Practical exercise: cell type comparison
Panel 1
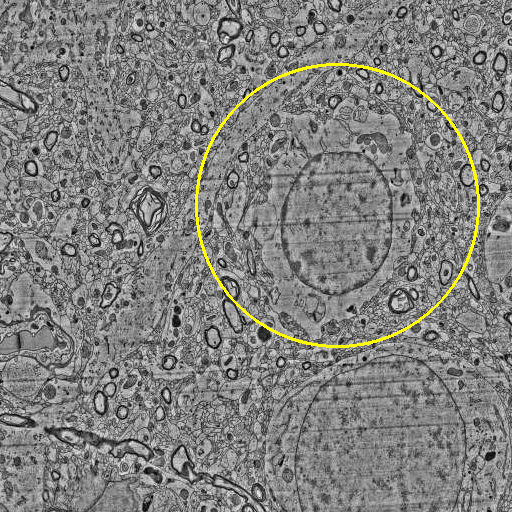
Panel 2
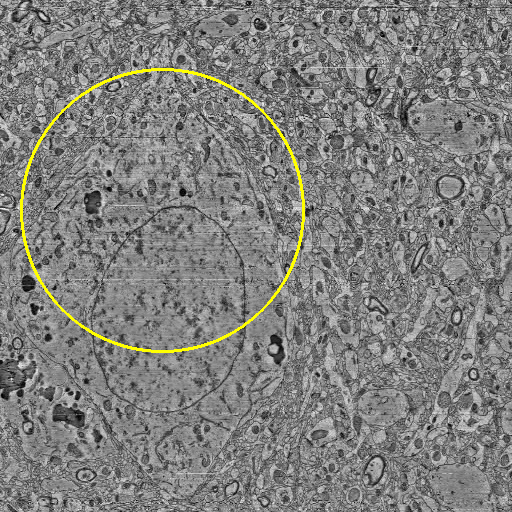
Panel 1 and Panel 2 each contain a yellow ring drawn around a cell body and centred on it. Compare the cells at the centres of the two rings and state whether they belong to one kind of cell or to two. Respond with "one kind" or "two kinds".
two kinds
